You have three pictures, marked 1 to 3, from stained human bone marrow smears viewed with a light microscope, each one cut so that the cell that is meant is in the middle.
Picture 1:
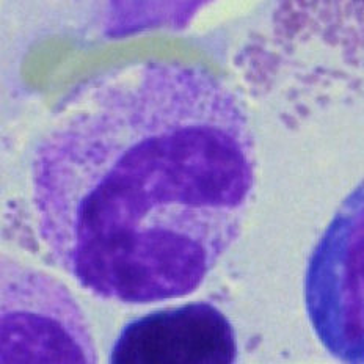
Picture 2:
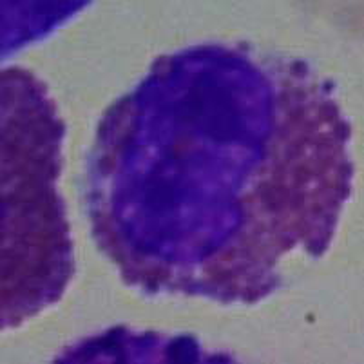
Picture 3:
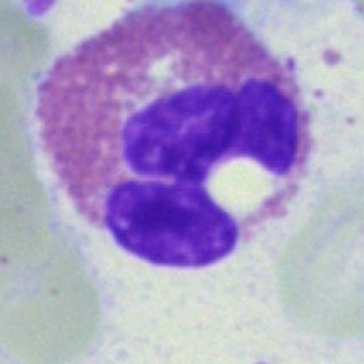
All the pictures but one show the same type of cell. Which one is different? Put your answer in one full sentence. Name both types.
Picture 1 is the odd one out: it shows a band neutrophil, while the others show eosinophils.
